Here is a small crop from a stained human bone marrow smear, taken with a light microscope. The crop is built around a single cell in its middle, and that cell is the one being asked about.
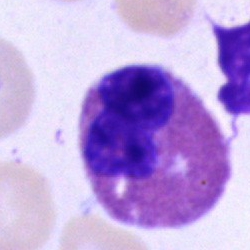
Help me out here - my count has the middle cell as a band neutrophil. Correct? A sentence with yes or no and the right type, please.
No, that is not a band neutrophil; the middle cell is an eosinophil.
